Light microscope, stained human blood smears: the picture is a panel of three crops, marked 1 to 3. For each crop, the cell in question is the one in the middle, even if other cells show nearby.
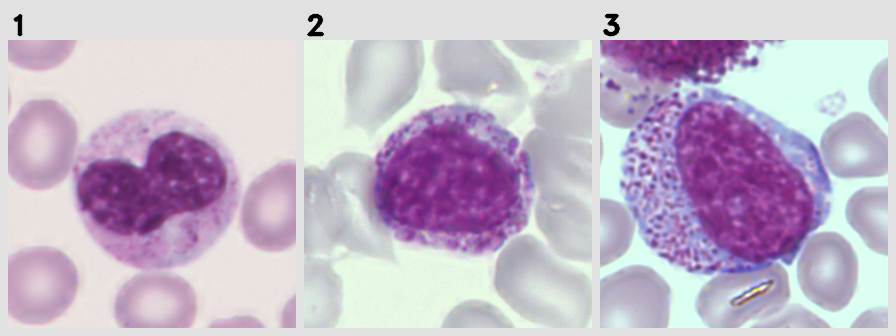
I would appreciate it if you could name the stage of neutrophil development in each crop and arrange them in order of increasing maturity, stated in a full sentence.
The ordering by maturity, from earliest to most mature, is crop 3 (a promyelocyte), crop 2 (a myelocyte) and crop 1 (a metamyelocyte).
